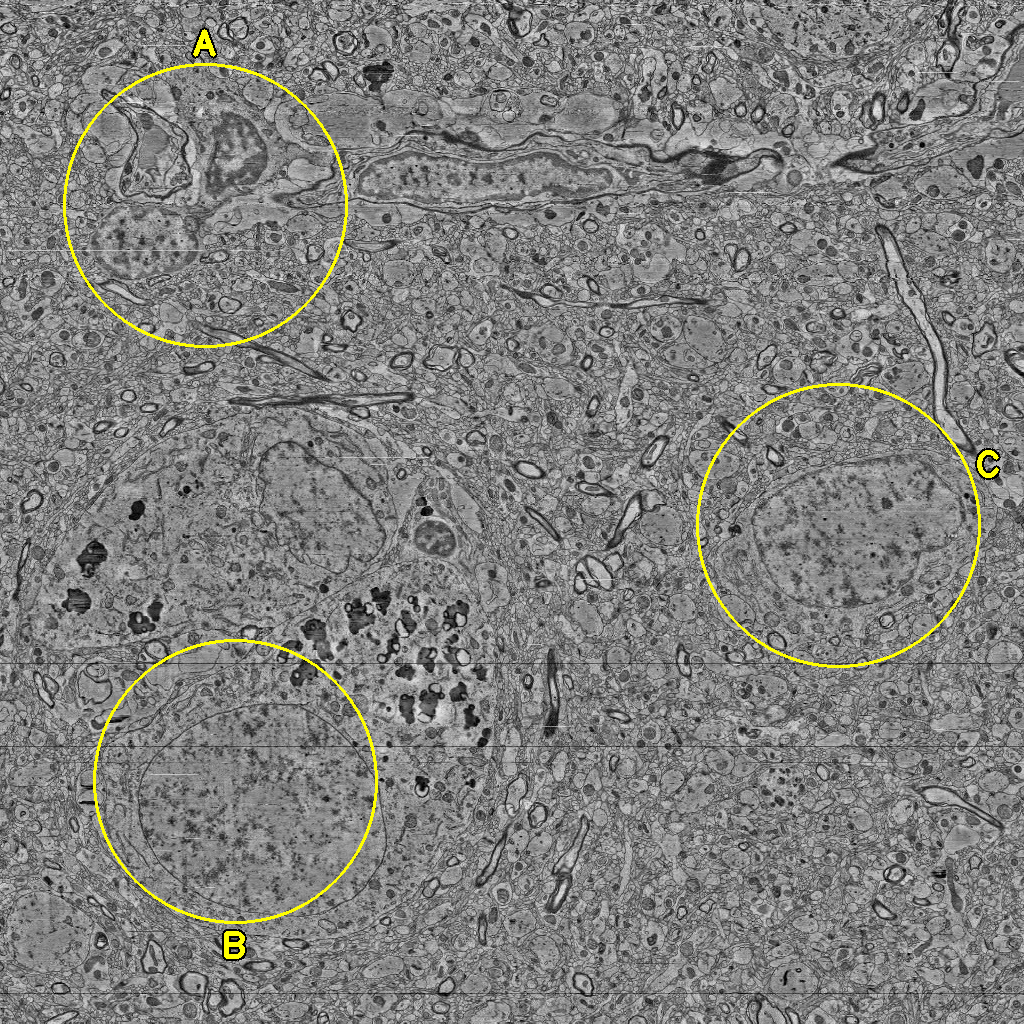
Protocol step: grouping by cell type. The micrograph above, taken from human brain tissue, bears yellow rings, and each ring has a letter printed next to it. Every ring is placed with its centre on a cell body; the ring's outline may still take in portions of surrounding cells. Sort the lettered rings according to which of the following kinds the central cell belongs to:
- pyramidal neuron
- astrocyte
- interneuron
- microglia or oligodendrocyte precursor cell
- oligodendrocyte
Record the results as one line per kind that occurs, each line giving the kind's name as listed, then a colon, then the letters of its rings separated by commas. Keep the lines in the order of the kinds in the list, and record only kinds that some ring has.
pyramidal neuron: B
interneuron: C
oligodendrocyte: A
